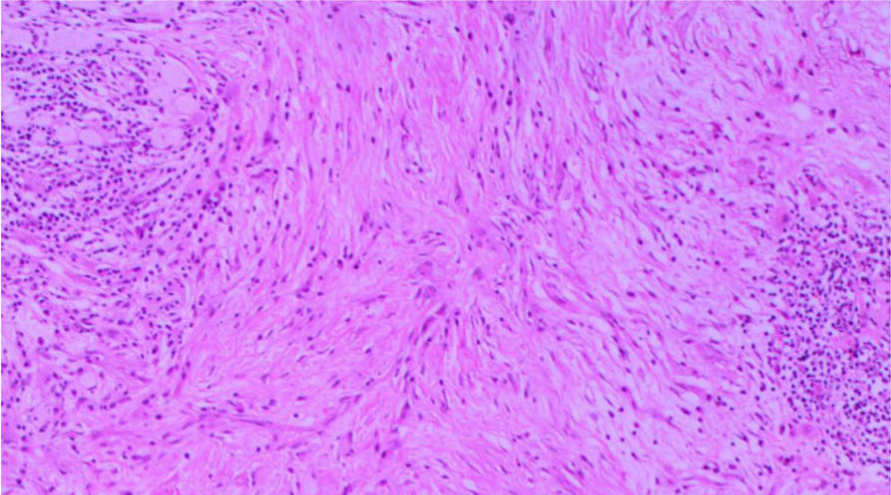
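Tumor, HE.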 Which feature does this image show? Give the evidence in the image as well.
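Near the centre, spindle cells radiate from a point like the spokes of a wheel. Short bundles of cells meet and cross at different angles in a whorled arrangement.
Answer: “storiform” pattern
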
